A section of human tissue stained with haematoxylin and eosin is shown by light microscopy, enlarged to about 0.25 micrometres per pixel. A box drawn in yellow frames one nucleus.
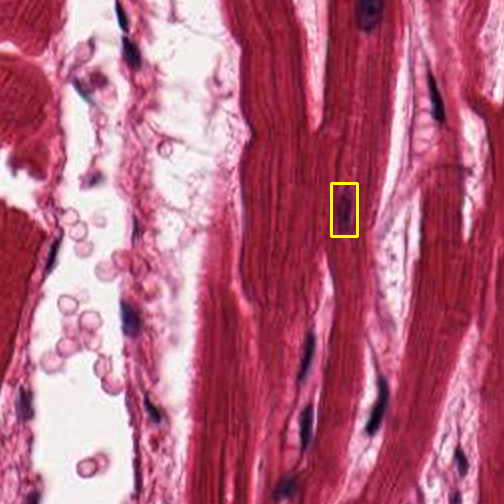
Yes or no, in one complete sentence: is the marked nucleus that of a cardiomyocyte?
Yes, the marked nucleus, in this picture, is that of a cardiomyocyte.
